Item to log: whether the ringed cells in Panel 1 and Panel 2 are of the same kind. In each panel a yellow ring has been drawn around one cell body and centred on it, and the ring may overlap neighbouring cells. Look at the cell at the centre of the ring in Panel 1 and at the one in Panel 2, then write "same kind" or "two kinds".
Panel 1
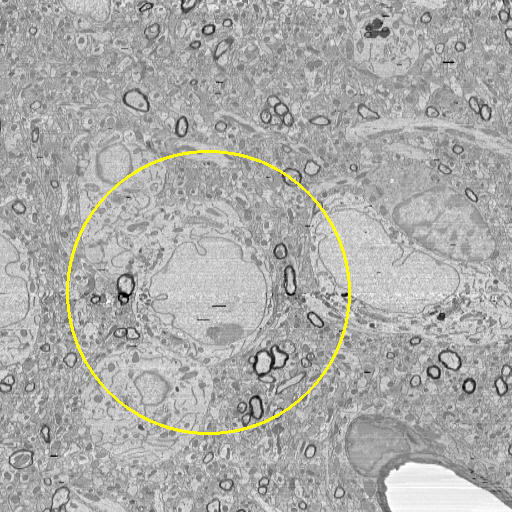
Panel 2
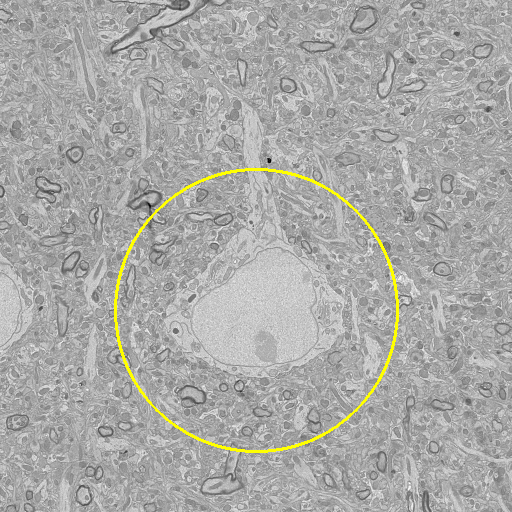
same kind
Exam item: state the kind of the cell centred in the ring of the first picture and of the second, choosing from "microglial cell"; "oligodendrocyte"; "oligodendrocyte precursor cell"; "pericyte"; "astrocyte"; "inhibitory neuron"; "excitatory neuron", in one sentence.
Each of the ringed cells, first and second, is an excitatory neuron.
